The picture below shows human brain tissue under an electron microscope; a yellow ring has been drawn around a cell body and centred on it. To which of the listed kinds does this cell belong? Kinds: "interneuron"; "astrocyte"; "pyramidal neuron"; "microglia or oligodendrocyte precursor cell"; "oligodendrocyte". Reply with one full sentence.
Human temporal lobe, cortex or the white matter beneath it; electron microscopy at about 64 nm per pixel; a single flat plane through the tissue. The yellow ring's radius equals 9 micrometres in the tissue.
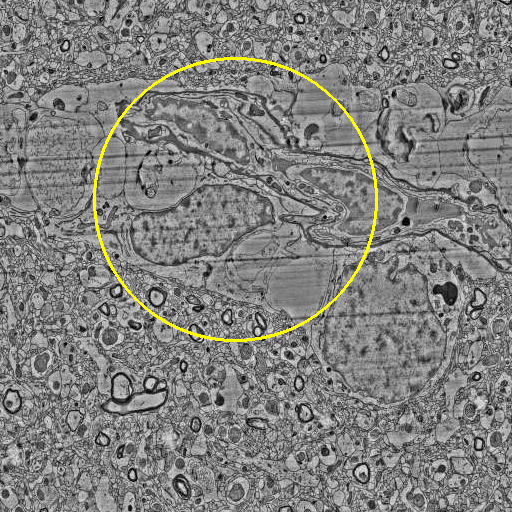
It is a microglial cell or oligodendrocyte precursor cell that the yellow ring in the picture is centred on.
